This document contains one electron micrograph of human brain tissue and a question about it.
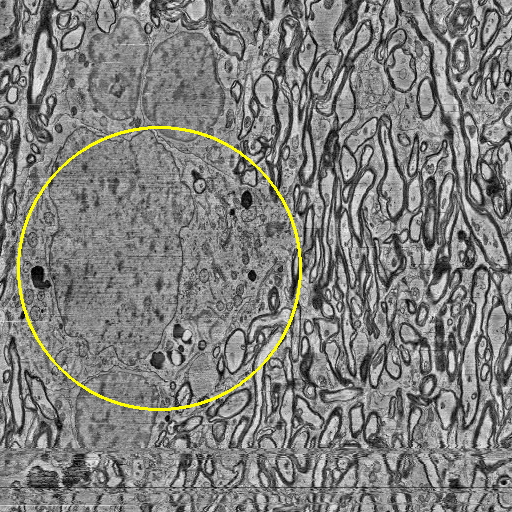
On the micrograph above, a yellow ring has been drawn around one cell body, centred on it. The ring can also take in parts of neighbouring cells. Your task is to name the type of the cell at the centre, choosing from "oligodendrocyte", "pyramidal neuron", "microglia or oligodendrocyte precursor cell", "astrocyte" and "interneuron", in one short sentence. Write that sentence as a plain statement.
Here the ring is centred on a pyramidal neuron.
